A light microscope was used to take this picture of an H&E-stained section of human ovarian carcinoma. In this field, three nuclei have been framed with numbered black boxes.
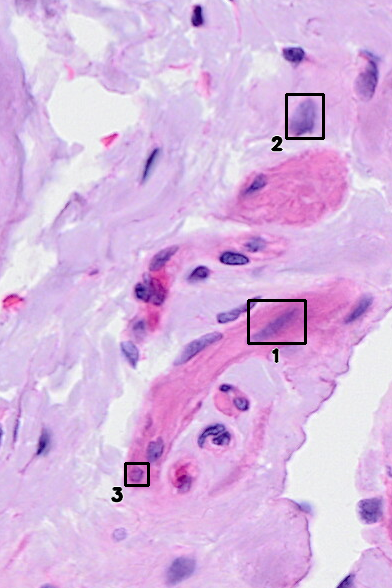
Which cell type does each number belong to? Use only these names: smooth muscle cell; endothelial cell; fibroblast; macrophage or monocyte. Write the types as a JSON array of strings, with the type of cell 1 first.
["smooth muscle cell", "fibroblast", "smooth muscle cell"]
